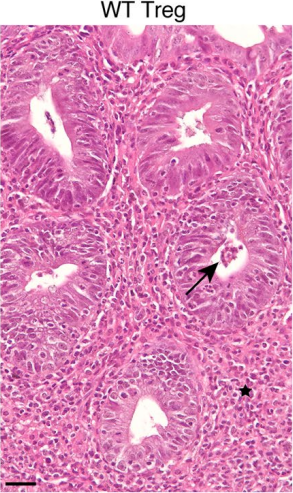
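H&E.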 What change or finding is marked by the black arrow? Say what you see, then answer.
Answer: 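The arrow points into a crypt lumen. The lumen holds clustered cells and debris. The answer: crypt abscesses.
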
